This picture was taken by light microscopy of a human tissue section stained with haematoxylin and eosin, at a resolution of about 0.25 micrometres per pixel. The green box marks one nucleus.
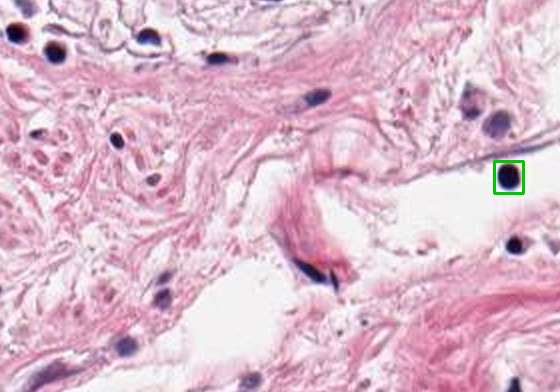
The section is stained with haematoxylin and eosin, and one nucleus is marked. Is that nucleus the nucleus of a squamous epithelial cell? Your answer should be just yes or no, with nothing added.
no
